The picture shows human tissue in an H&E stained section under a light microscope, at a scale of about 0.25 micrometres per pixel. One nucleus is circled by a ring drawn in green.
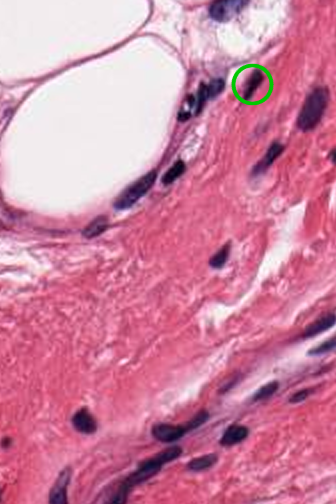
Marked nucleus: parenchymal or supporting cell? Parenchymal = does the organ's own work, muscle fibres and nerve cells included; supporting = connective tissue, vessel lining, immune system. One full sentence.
The marked nucleus in this section is part of a supporting cell.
